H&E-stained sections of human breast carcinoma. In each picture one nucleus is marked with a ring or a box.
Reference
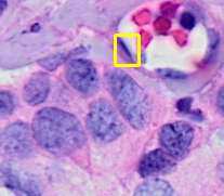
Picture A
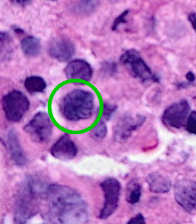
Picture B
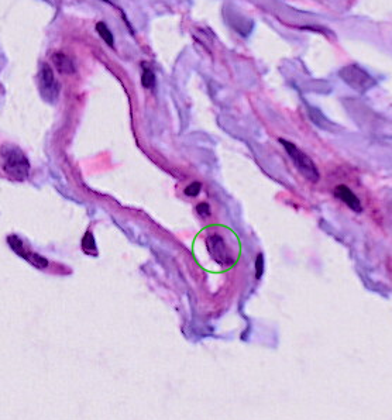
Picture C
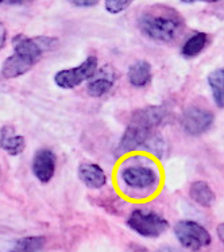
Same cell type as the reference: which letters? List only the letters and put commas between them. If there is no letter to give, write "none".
B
